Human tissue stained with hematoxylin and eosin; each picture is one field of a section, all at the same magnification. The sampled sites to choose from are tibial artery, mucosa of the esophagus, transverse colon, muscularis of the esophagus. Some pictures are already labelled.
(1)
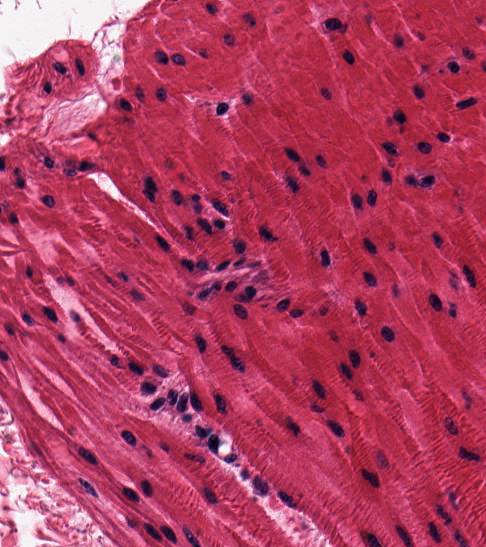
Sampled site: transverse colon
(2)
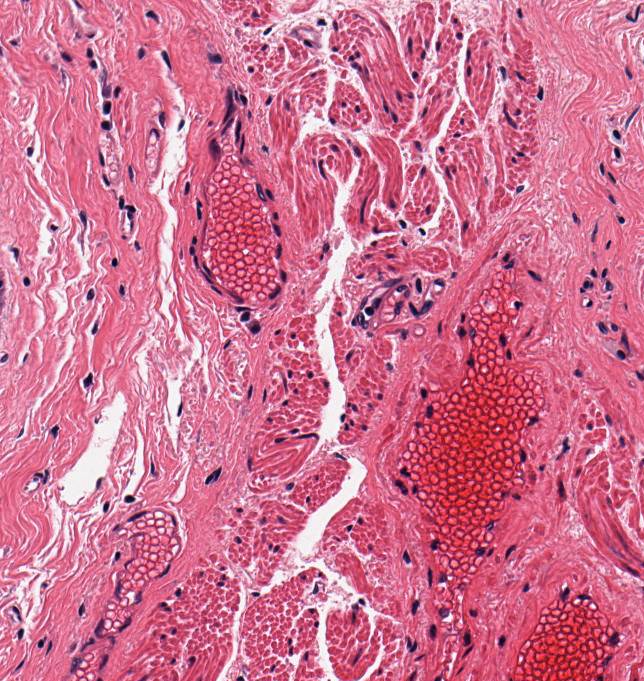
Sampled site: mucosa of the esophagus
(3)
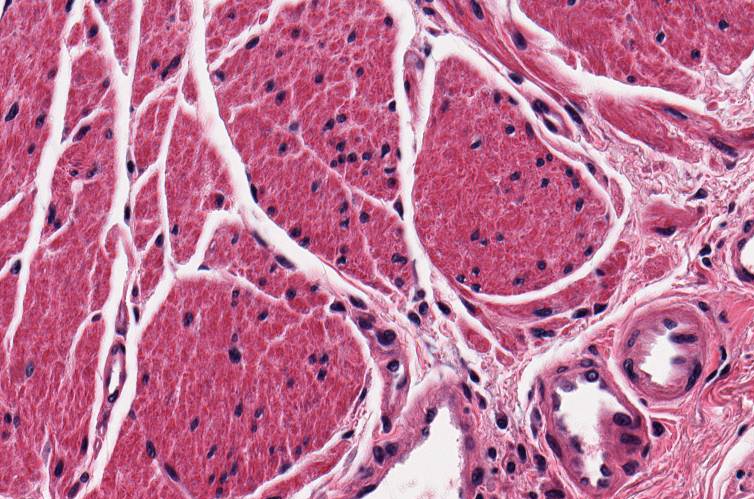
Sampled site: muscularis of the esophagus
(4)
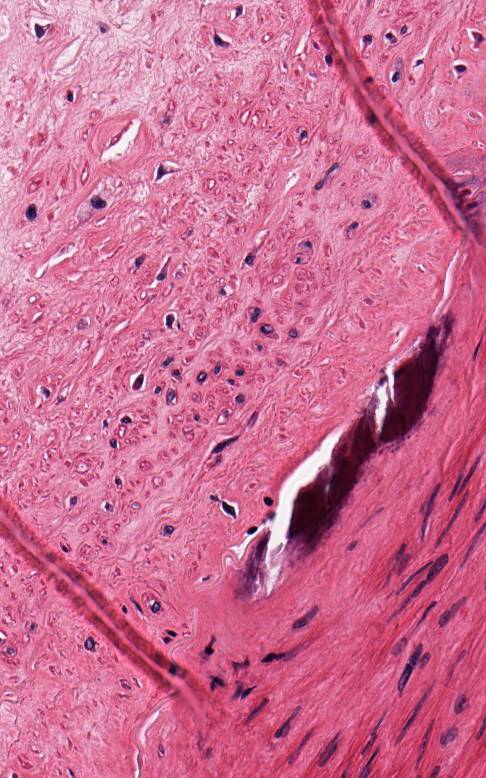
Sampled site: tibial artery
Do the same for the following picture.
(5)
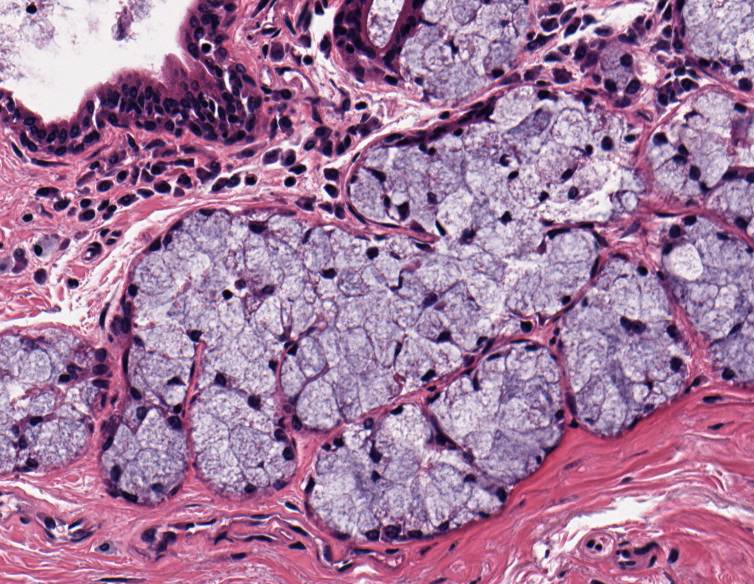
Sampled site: mucosa of the esophagus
